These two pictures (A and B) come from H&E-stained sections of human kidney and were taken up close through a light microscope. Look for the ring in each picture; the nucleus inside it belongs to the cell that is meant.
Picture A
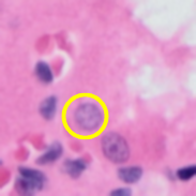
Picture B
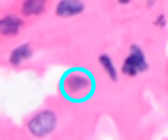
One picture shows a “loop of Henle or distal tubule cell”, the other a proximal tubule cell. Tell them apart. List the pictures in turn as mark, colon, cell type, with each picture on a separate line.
A: proximal tubule cell
B: loop of Henle or distal tubule cell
